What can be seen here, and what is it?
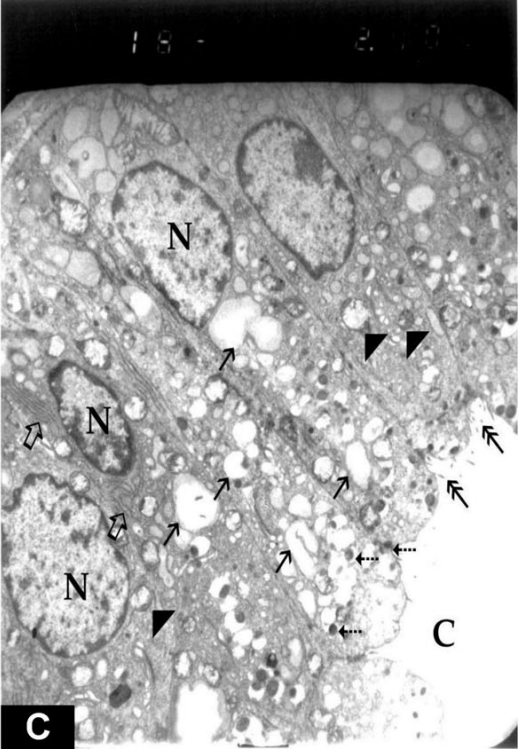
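Thyroid follicular cells are seen in a row facing a lumen of colloid at one side, with oval nuclei placed toward the cell bases. Strands of endoplasmic reticulum cisternae and small rounded mitochondria lie in the cytoplasm between the nuclei. The cytoplasm toward the lumen is crowded with many pale vesicles and large clear vacuoles, with small dark dense bodies among them. The cell surface facing the lumen bears short microvilli.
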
